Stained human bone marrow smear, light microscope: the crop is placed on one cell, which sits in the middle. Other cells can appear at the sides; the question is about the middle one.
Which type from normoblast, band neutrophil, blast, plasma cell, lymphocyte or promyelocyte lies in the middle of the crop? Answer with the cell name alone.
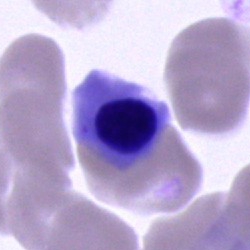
normoblast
